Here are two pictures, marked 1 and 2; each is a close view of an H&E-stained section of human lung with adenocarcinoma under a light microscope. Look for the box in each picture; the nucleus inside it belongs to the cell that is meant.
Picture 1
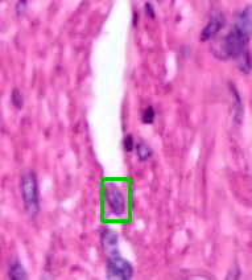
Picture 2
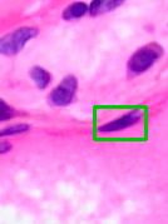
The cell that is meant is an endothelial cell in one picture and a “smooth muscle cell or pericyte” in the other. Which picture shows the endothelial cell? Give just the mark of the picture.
2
